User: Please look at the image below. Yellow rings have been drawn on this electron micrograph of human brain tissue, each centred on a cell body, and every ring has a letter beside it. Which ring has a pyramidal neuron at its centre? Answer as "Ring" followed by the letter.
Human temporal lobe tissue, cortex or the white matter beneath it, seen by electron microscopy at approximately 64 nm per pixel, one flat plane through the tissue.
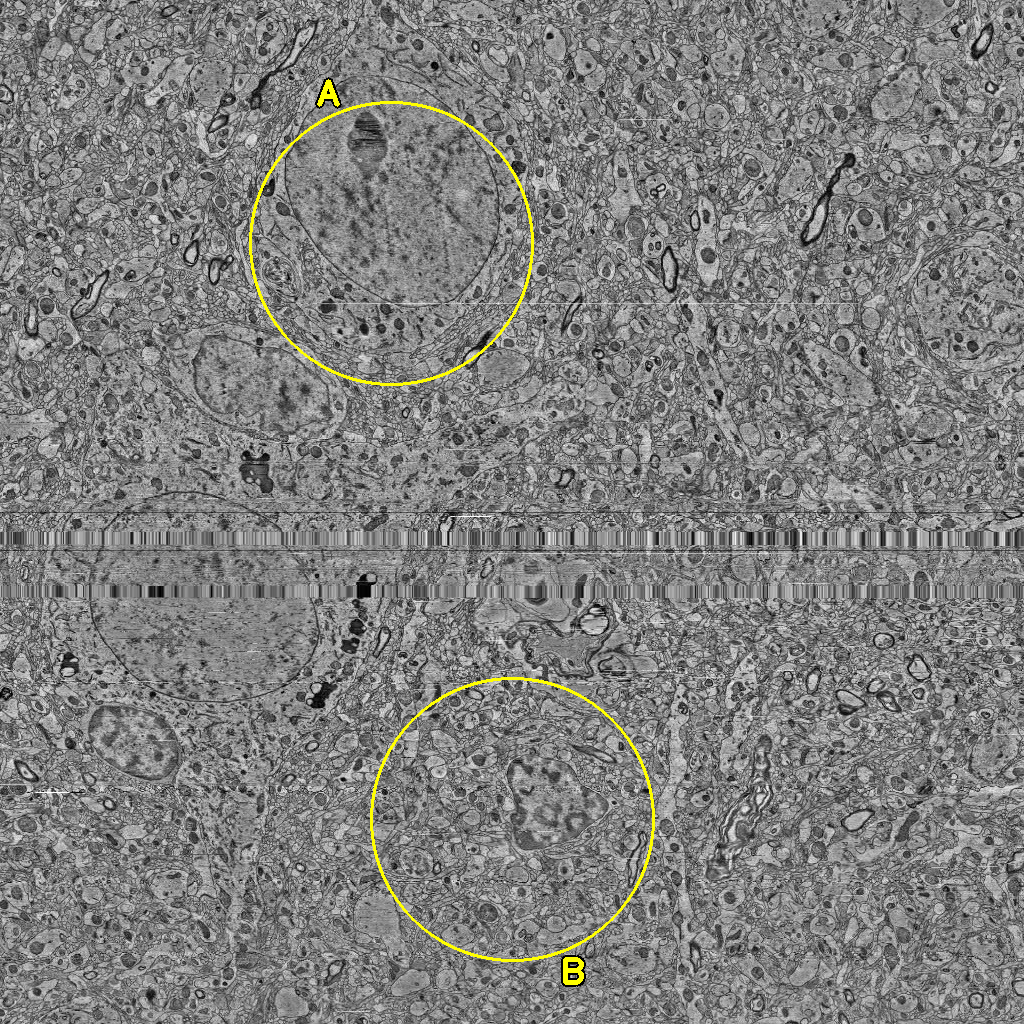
Ring A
